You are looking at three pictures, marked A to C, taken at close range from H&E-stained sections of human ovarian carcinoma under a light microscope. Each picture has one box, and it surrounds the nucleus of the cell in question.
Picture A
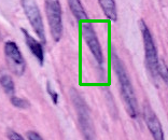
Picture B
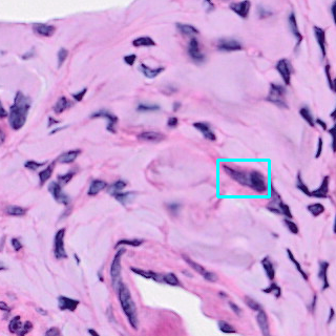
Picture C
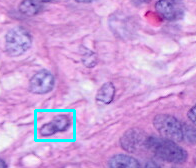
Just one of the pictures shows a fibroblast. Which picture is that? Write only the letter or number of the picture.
C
